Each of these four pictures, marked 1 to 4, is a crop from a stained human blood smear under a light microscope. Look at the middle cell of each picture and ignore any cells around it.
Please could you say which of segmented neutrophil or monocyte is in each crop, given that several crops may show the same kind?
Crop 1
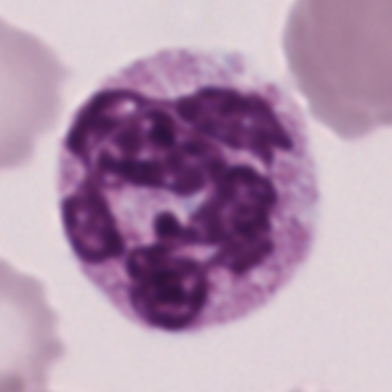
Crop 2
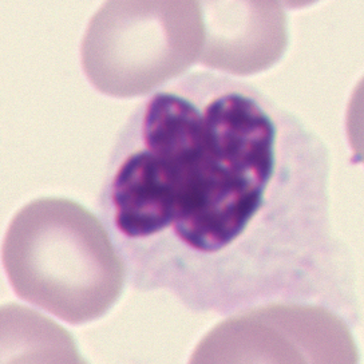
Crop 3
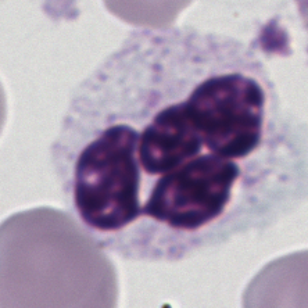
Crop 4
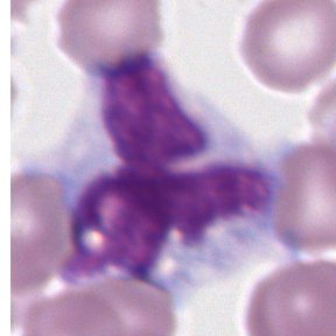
1: segmented neutrophil
2: segmented neutrophil
3: segmented neutrophil
4: monocyte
